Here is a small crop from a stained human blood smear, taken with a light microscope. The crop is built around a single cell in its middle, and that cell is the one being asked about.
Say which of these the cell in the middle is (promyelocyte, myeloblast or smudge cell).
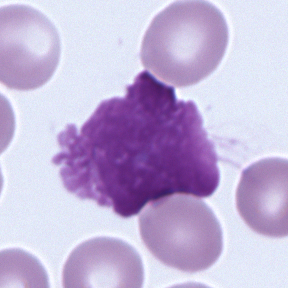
smudge cell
